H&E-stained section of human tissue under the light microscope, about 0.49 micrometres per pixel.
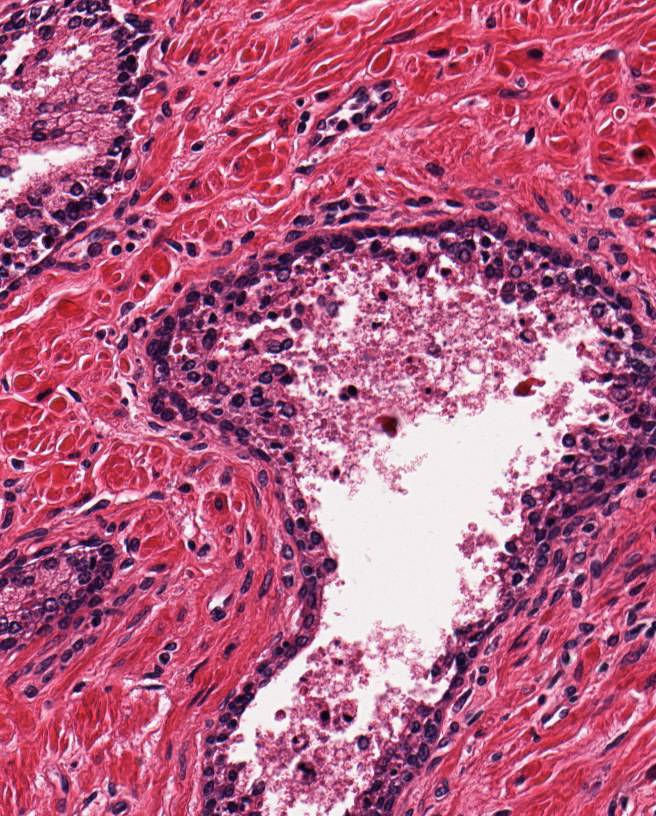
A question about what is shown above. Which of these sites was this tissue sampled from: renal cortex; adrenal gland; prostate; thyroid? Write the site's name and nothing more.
prostate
